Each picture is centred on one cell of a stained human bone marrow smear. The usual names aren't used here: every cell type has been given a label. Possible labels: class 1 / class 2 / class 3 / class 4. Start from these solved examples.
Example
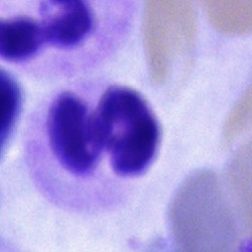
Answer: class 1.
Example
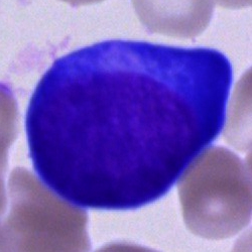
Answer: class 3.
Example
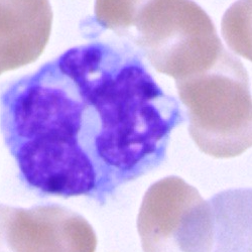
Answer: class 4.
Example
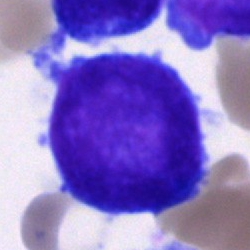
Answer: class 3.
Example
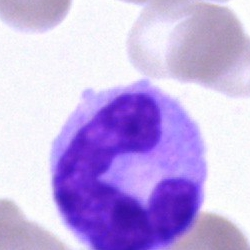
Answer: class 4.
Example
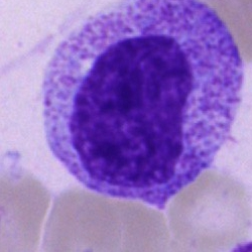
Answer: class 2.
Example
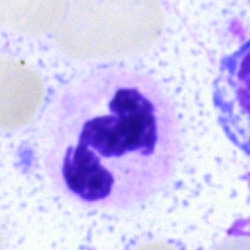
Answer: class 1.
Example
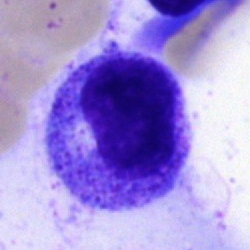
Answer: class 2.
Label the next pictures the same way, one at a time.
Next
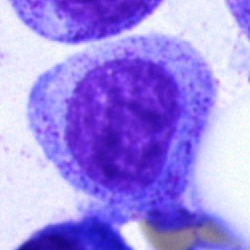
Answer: class 2.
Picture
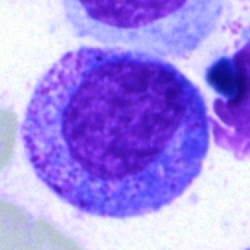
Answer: class 2.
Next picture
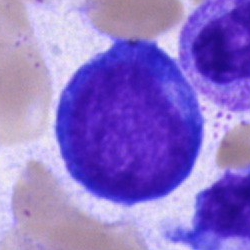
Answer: class 3.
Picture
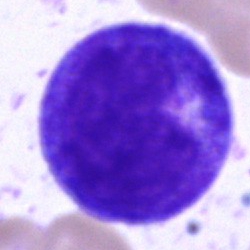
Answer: class 2.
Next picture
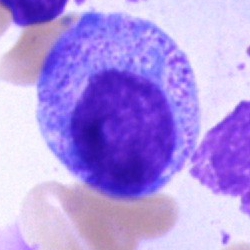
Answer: class 2.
